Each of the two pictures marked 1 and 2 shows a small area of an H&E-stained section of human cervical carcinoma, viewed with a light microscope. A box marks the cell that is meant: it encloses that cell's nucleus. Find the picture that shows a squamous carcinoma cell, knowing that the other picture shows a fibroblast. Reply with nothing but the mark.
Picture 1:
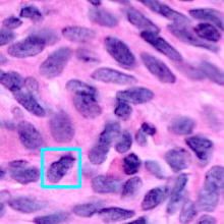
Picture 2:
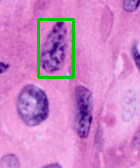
2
